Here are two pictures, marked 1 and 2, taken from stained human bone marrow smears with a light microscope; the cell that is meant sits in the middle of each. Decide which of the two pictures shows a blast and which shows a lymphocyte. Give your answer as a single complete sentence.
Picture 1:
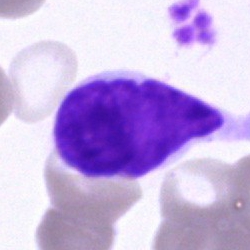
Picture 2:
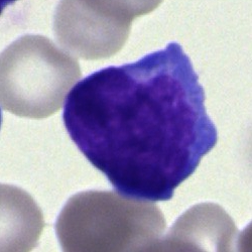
It is picture 1 that shows a lymphocyte, and picture 2 that shows a blast.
